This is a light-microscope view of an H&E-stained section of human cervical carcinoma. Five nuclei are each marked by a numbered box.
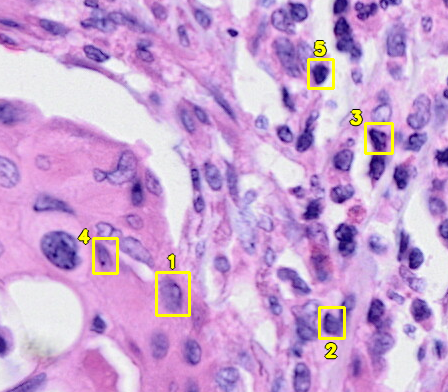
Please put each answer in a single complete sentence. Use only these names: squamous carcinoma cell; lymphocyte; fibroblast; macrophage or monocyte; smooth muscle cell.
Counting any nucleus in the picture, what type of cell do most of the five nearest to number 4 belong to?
Of the five nuclei nearest to number 4, most belong to squamous carcinoma cells.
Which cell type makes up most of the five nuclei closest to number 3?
Of the five nuclei nearest to number 3, most belong to macrophages or monocytes.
